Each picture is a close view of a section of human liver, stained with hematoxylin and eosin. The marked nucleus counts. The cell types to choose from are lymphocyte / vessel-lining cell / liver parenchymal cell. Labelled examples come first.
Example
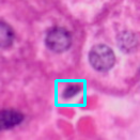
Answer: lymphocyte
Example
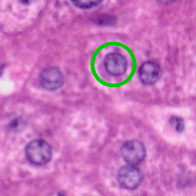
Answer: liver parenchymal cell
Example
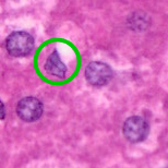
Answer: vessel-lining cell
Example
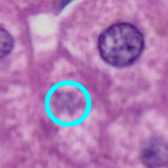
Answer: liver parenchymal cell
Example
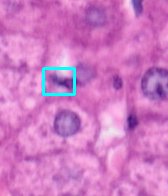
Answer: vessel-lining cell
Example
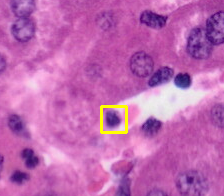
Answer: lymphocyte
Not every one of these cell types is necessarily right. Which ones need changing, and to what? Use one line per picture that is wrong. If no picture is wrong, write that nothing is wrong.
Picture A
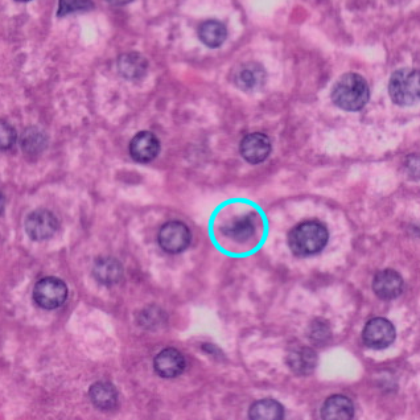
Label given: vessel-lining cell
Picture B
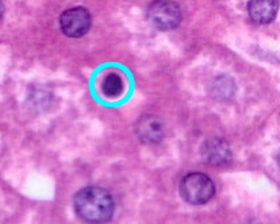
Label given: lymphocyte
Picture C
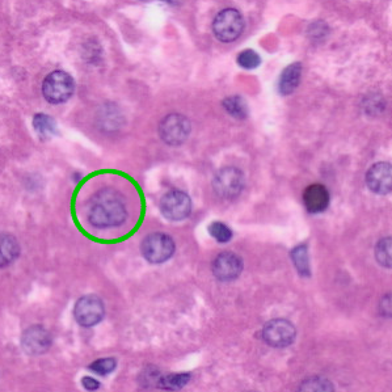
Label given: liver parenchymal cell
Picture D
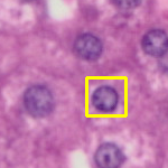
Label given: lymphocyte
D is labelled lymphocyte; correct label: liver parenchymal cell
